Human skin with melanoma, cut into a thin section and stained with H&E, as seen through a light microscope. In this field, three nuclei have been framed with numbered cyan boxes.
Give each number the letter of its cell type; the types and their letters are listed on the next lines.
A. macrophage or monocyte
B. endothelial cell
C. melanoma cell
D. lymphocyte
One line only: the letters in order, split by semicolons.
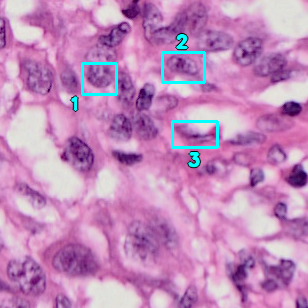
C; C; B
